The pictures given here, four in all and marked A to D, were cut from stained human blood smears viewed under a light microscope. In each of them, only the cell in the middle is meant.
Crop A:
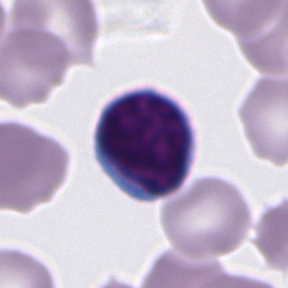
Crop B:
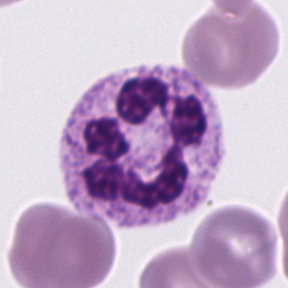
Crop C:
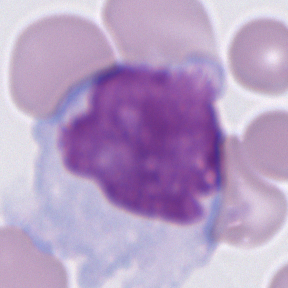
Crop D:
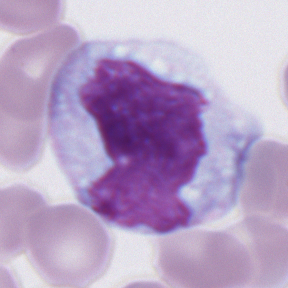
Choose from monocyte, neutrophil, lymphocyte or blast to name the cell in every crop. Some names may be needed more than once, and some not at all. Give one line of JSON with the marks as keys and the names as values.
{"A": "lymphocyte", "B": "neutrophil", "C": "monocyte", "D": "monocyte"}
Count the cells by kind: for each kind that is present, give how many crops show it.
monocyte: 2
lymphocyte: 1
neutrophil: 1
